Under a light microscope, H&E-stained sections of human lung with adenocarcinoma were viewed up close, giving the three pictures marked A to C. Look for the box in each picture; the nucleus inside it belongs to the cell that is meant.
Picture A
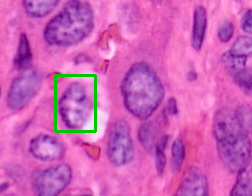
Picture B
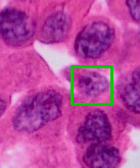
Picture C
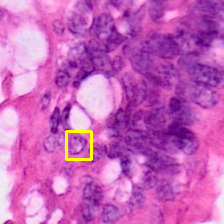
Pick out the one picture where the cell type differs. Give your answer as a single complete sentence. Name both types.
Picture C differs, because its cell is a ciliated epithelial cell and the rest are carcinoma cells.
